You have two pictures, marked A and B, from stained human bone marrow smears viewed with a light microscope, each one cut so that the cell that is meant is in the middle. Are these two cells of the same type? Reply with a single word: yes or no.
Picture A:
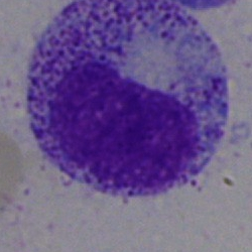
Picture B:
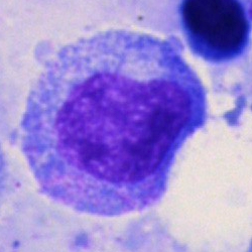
no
